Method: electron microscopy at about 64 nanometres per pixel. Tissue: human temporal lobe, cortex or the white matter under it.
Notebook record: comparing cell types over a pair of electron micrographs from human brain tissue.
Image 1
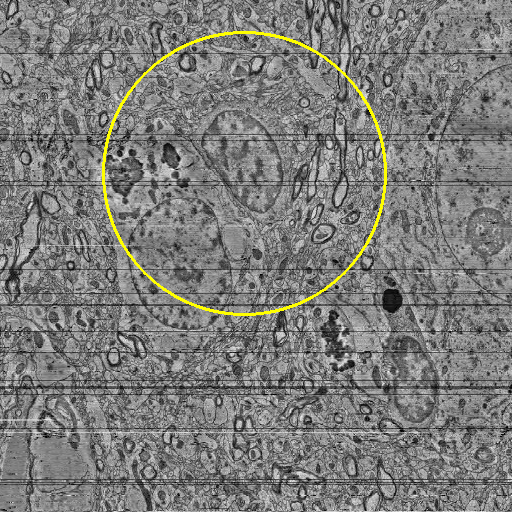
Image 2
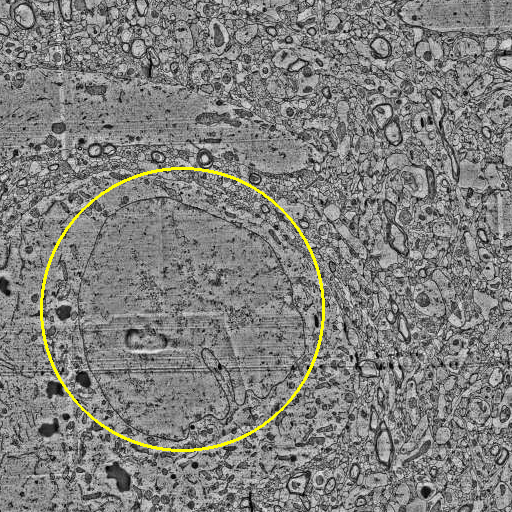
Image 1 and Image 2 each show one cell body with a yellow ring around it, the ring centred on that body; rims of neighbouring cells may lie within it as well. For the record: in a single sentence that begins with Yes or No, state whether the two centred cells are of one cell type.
No, two cell types are found among the centred cells of Image 1 and Image 2.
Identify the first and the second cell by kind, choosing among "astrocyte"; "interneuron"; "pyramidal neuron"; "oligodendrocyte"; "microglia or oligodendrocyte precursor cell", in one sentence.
The one in the first picture is an oligodendrocyte, while the one in the second is a pyramidal neuron.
